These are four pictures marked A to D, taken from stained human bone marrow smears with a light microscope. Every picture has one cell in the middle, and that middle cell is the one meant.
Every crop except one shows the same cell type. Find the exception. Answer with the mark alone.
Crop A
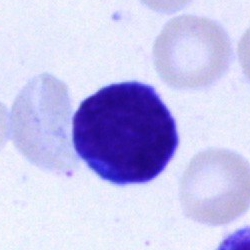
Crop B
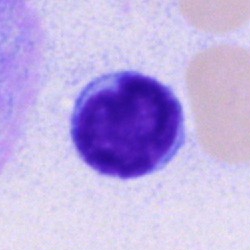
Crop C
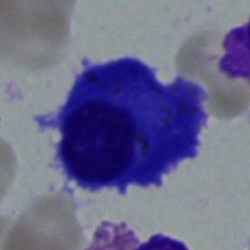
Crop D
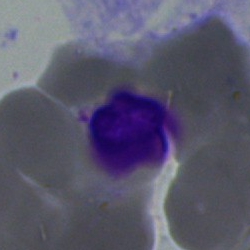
C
